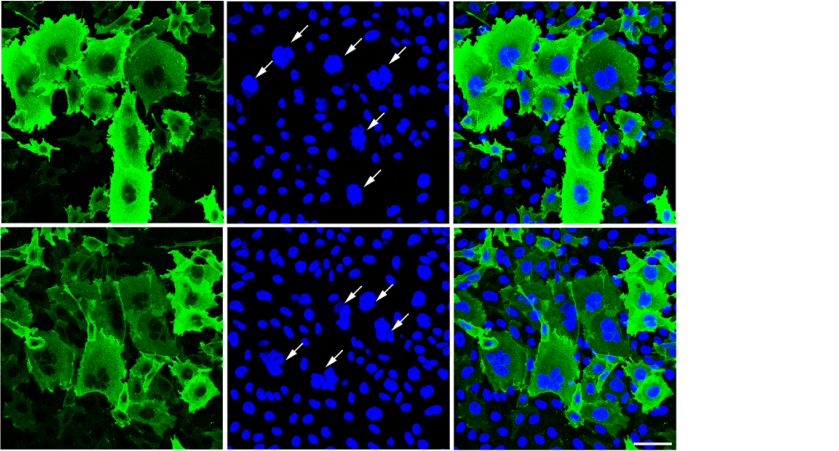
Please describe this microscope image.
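Cultured cells in a monolayer, with scattered multinucleated cells. Most nuclei are small, smooth and oval, and they are fairly evenly spaced. A minority of cells are very large, flat and widely spread. Their cytoplasm fills strongly green, and their edges are ruffled and irregular with thin extensions. Arrows mark several large nuclear clusters made of multiple lobes or nuclei grouped together. In the merged views these clusters lie within the large, strongly green cells. Neighbouring small cells are weakly green or unstained. Dark nuclear shadows stand out within the green cytoplasm.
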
